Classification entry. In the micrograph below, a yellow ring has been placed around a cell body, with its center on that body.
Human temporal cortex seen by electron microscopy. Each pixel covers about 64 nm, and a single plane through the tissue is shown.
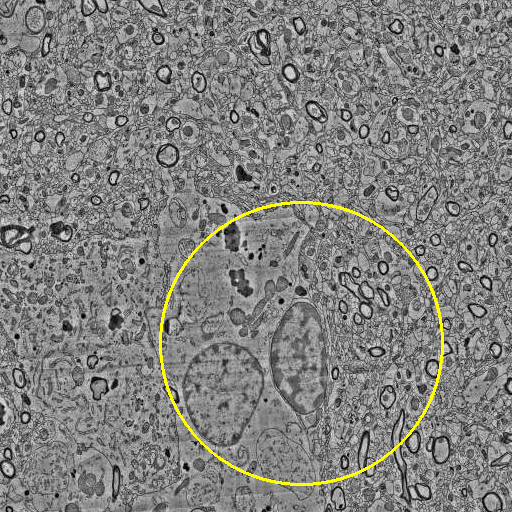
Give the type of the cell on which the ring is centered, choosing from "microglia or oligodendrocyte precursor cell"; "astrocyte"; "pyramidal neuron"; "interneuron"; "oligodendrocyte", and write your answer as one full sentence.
The cell body at the center of the yellow ring belongs to a microglial cell or oligodendrocyte precursor cell.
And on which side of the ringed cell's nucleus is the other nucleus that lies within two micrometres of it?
That other nucleus lies to the left of it.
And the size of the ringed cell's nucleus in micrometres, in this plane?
Roughly 7 by 4 micrometres in this plane, for the nucleus of the ringed cell.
